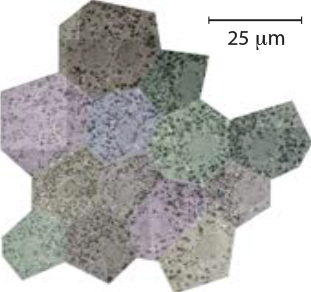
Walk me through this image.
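This en face view shows a small sheet of retinal pigment epithelium cells, each tinted a different colour so its borders can be followed. The cells are polygonal, mostly six-sided, and fit tightly edge to edge without gaps, like a honeycomb. Within some cells a paler, rounded central region can be made out.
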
